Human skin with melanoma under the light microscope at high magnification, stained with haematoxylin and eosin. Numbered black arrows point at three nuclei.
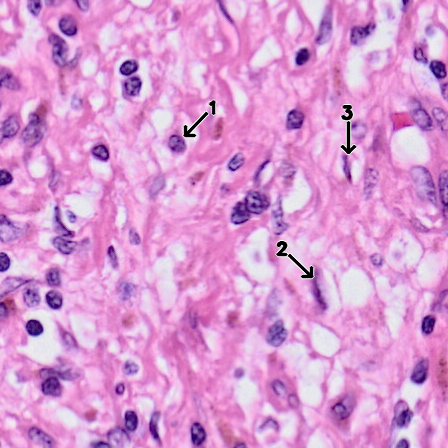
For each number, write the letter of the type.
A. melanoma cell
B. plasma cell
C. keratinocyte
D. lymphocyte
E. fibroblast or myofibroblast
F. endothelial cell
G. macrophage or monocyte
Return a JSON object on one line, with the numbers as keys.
{"1": "G", "2": "E", "3": "E"}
